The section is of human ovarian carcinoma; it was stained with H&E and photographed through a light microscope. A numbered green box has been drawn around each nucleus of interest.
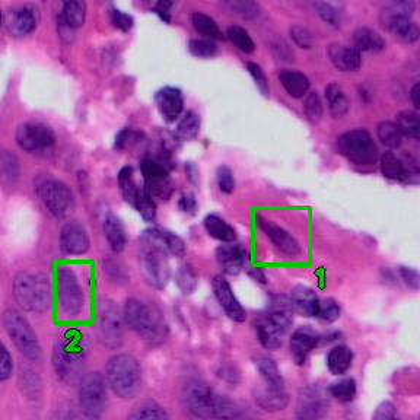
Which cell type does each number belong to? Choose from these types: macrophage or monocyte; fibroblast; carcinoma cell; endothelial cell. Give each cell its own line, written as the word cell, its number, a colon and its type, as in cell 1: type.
cell 1: endothelial cell
cell 2: carcinoma cell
